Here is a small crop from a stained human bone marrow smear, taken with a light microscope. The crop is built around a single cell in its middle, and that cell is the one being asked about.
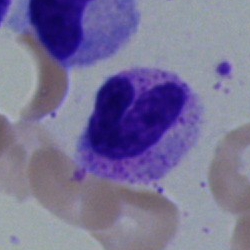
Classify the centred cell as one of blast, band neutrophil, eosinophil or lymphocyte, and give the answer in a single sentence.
The target cell in the middle of the crop is a band neutrophil.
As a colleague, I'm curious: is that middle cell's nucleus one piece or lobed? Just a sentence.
Key feature: a single compact nucleus, round, oval or kidney-shaped.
